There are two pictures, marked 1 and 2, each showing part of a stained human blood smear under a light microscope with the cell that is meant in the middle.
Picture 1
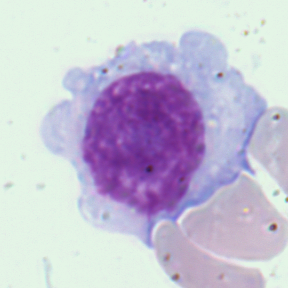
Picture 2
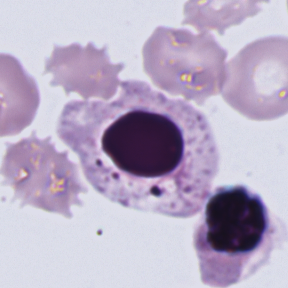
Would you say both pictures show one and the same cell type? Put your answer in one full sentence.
No, picture 1 shows a plasma cell and picture 2 shows a normoblast.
